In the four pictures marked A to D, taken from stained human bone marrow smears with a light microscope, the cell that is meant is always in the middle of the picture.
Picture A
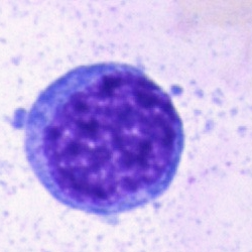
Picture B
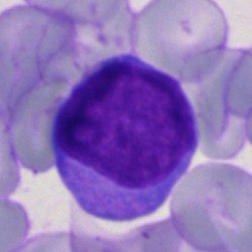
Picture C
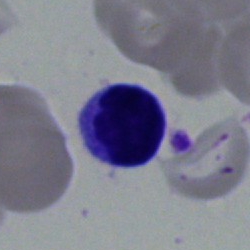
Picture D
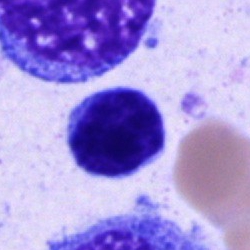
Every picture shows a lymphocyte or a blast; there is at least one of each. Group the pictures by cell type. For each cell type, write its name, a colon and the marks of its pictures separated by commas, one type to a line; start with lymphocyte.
lymphocyte: C, D
blast: A, B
